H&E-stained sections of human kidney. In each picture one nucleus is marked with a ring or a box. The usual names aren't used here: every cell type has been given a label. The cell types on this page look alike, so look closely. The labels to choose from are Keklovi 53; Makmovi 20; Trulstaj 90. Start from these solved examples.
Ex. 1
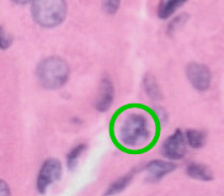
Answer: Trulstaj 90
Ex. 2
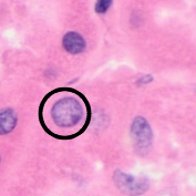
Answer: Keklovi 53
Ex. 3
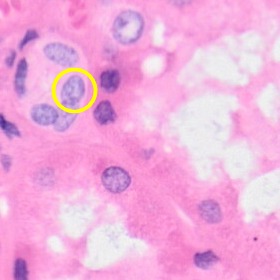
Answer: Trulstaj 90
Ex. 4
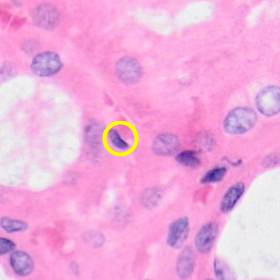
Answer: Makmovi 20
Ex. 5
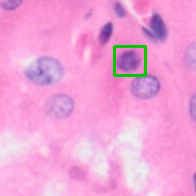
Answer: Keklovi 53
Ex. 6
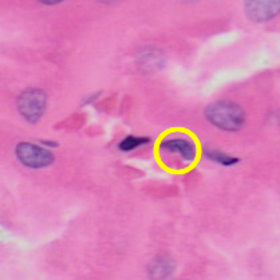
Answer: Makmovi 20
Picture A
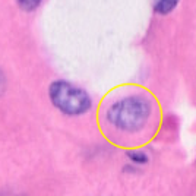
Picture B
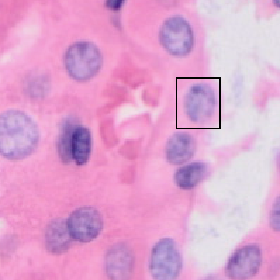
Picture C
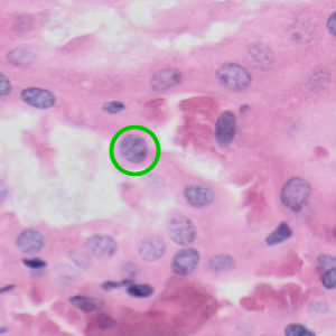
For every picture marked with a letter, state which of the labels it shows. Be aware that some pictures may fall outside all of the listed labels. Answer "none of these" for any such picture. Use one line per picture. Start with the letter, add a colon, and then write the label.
A: none of these
B: Trulstaj 90
C: none of these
